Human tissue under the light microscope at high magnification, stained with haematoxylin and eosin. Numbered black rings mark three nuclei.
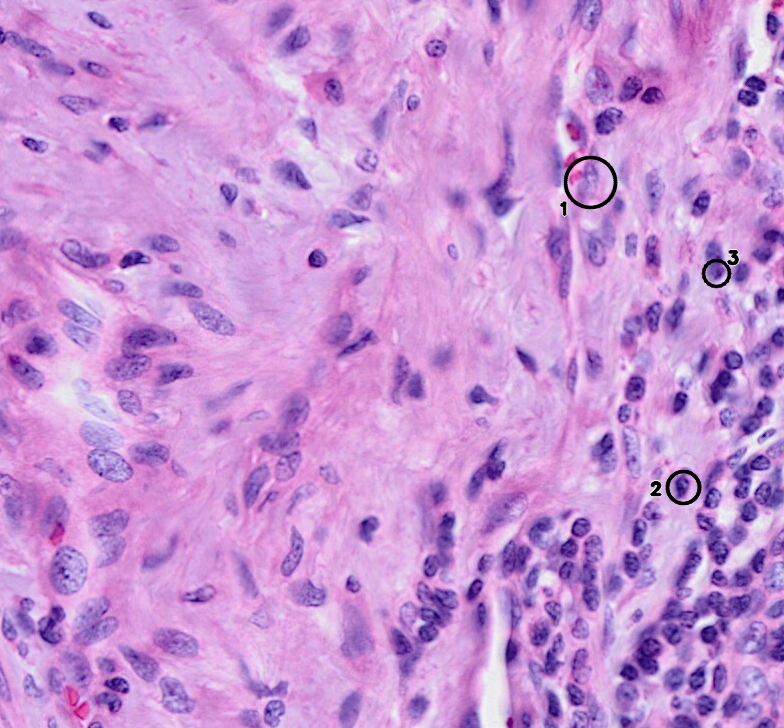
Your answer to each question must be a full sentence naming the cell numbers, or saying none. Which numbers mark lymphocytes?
The cells marked by the numbers 2 and 3 are lymphocytes.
